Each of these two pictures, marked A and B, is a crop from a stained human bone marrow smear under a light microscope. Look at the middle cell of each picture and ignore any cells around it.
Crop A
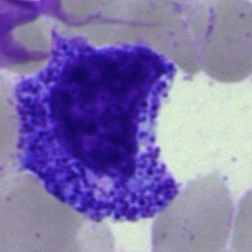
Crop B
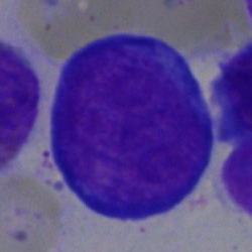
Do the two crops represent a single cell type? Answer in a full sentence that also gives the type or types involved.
No, crop A shows a promyelocyte, whereas a proerythroblast is what crop B shows.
